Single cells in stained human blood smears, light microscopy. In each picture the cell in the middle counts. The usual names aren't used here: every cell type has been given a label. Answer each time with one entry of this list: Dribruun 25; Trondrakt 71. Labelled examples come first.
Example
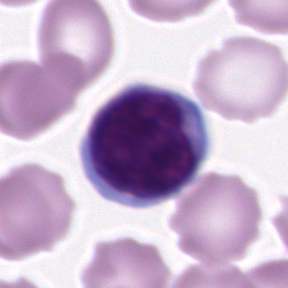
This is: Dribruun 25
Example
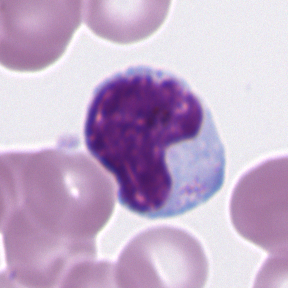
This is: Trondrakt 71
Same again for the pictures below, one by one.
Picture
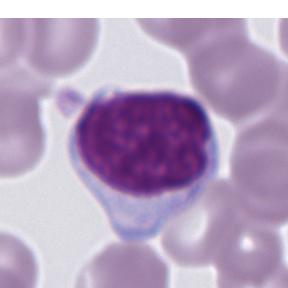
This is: Trondrakt 71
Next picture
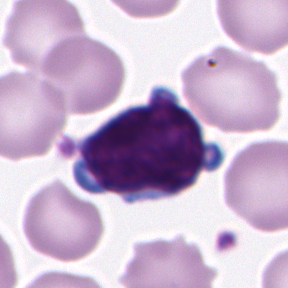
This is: Dribruun 25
